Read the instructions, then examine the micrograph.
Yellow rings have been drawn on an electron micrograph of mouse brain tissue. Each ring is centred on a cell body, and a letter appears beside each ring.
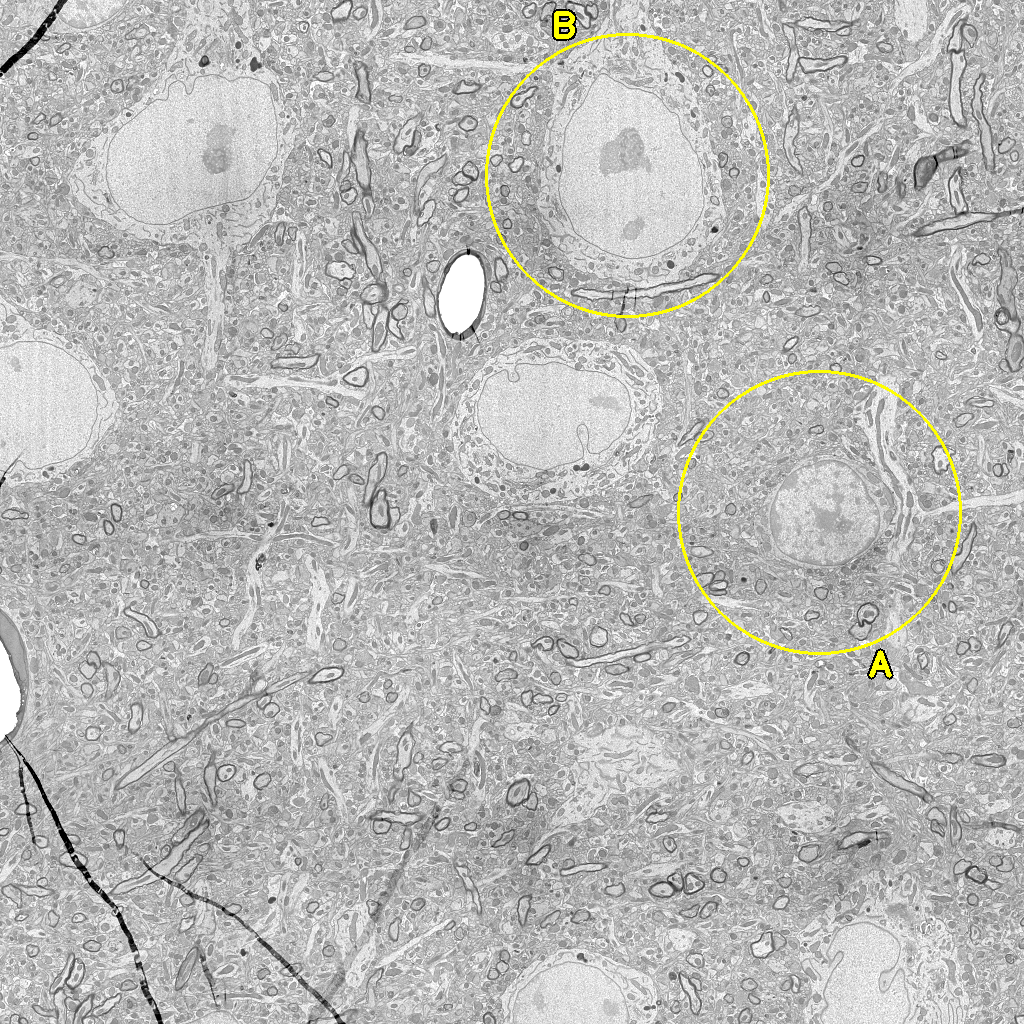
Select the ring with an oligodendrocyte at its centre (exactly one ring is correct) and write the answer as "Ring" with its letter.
Ring A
